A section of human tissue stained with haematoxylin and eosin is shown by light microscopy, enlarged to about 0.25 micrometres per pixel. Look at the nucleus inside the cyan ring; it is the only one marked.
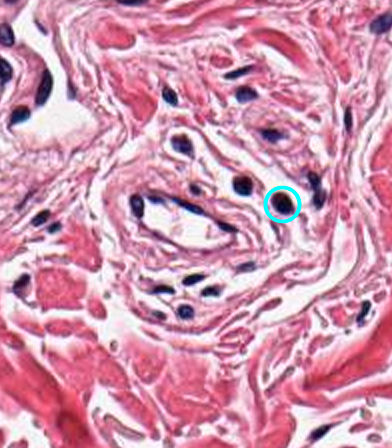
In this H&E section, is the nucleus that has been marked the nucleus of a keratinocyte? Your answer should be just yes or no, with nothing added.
no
